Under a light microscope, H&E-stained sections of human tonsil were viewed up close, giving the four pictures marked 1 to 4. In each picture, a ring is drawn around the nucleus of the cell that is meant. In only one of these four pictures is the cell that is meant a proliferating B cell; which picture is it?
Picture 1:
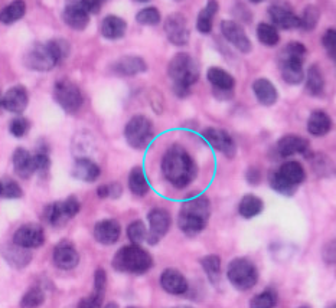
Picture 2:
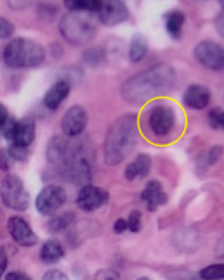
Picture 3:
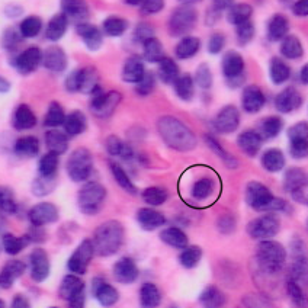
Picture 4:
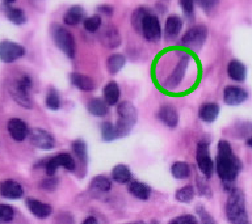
1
